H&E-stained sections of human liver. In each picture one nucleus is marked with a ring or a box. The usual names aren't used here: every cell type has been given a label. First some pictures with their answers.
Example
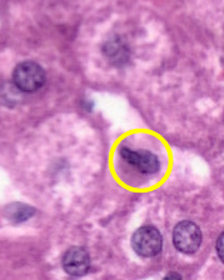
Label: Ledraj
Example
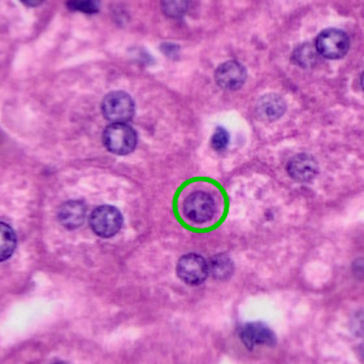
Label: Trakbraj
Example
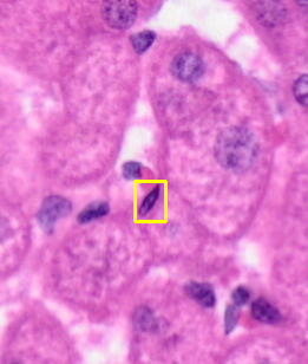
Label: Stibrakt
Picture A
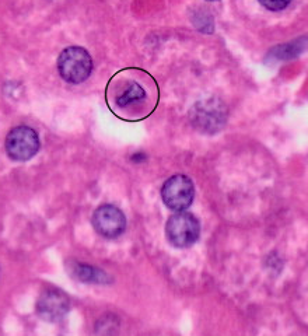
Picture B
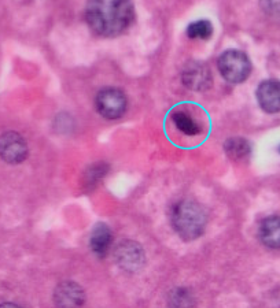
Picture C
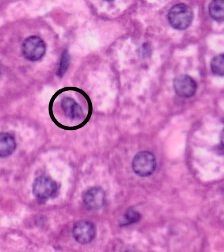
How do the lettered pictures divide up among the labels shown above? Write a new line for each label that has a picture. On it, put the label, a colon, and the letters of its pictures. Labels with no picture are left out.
Ledraj: A, C
Stibrakt: B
